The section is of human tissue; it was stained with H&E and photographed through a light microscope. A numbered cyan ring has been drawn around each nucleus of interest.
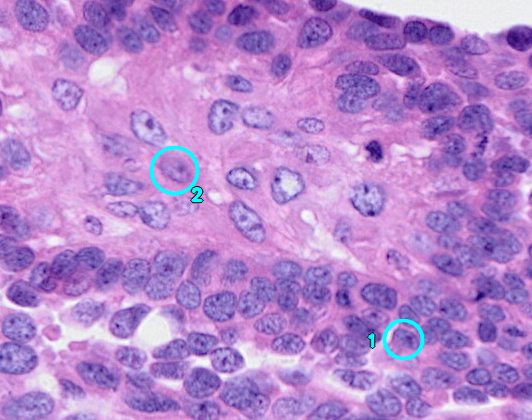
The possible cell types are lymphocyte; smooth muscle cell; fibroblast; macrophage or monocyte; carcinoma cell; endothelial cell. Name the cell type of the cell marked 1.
carcinoma cell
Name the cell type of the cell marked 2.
fibroblast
